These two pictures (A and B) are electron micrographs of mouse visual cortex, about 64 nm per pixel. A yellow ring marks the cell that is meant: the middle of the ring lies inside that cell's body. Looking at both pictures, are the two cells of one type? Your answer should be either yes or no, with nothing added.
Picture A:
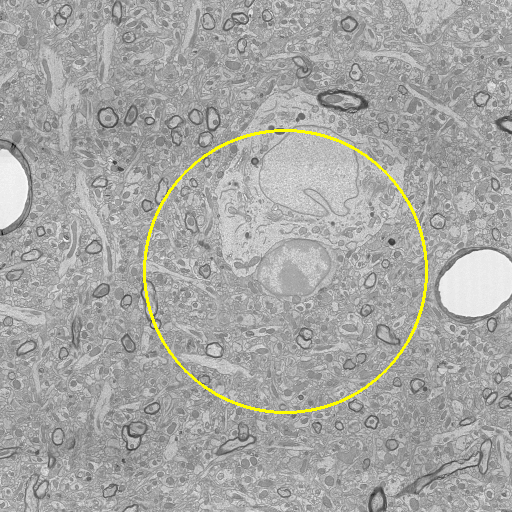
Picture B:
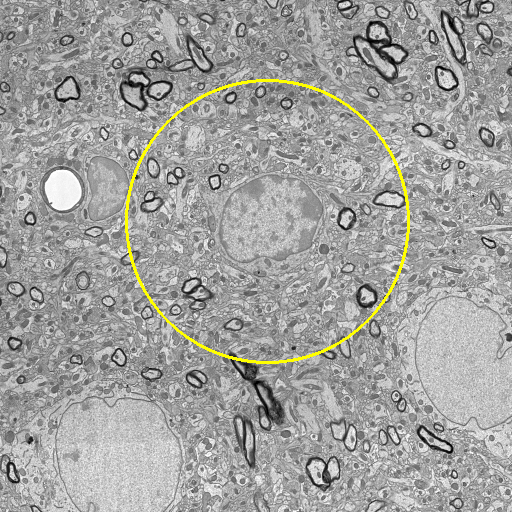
yes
